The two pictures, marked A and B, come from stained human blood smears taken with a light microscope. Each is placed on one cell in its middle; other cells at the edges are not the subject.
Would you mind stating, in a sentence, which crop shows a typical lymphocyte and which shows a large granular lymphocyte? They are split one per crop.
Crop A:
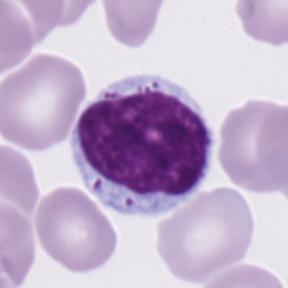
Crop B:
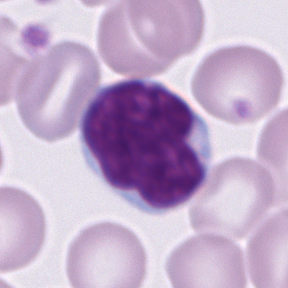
Crop B contains a typical lymphocyte, whereas crop A contains a large granular lymphocyte.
